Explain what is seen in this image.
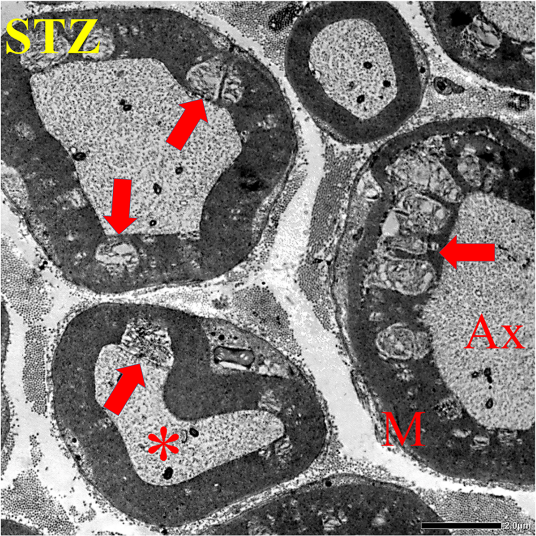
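Cross-sectioned myelinated nerve fibres of a peripheral nerve are seen, each a pale, finely granular axon surrounded by a thick dark myelin sheath. The myelin is damaged: along its inner border lie pale vacuoles filled with fragmented, disordered membranous material, and the lamellae appear separated rather than compact. One axon is shrunken and irregularly indented, with the myelin folding into it. The axoplasm contains scattered small dense bodies. Between the fibres lies pale endoneurial space with dense groups of finely dotted collagen fibrils in cross-section.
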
